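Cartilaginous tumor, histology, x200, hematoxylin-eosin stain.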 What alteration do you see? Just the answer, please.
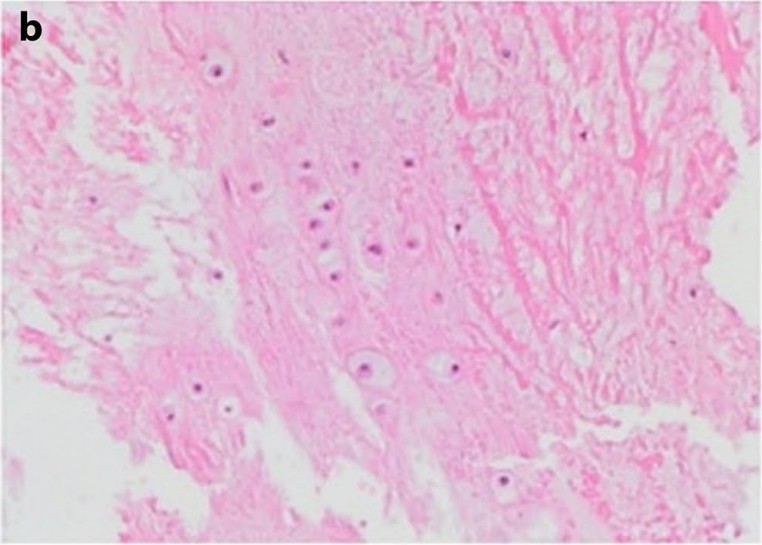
Paucicellular areas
